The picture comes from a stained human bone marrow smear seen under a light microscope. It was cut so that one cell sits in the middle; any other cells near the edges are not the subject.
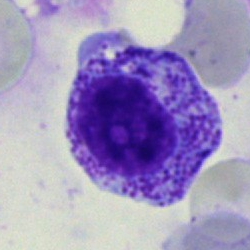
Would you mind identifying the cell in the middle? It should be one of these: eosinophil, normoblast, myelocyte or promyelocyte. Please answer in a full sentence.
Whatever else lies nearby, the middle cell is a myelocyte.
